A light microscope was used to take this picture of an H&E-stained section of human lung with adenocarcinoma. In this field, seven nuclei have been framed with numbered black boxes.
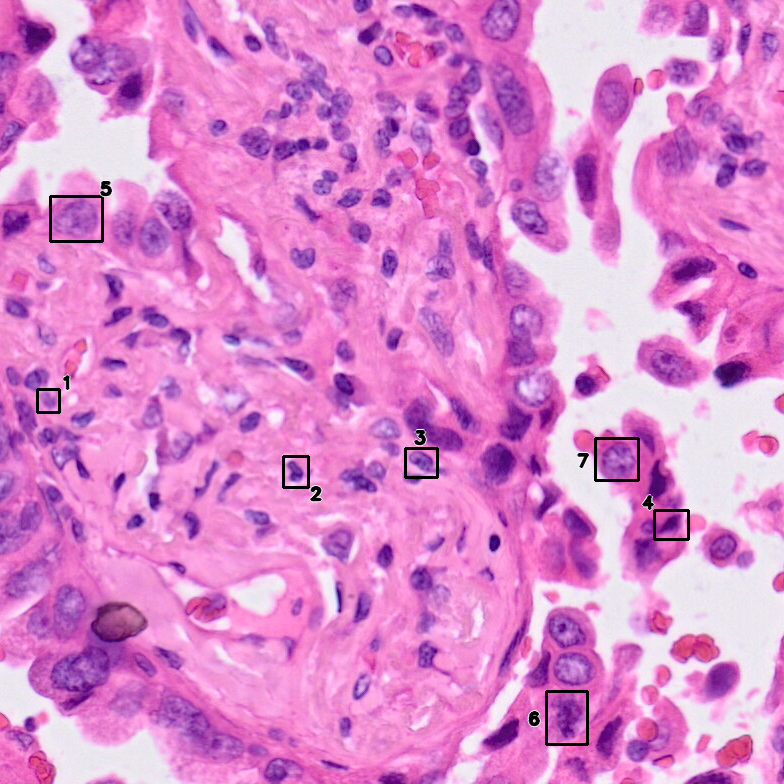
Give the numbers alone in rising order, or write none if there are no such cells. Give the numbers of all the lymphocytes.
1, 2, 3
